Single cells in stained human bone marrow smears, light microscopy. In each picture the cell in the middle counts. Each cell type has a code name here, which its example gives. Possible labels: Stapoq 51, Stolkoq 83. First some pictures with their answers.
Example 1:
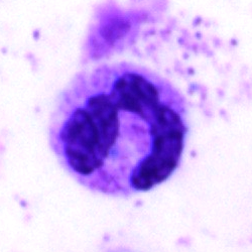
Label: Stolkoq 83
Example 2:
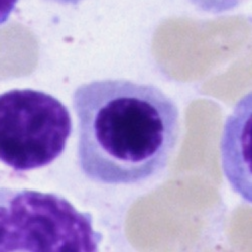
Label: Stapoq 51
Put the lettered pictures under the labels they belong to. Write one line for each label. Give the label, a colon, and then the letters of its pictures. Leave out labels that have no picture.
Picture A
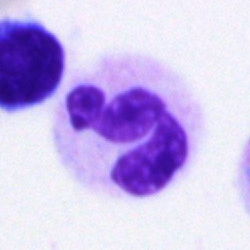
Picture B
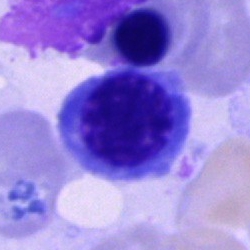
Stapoq 51: B
Stolkoq 83: A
